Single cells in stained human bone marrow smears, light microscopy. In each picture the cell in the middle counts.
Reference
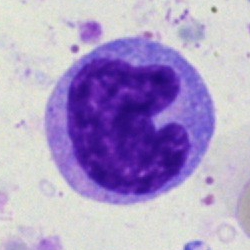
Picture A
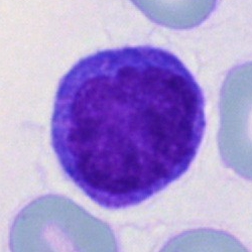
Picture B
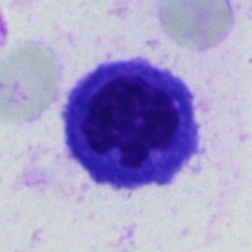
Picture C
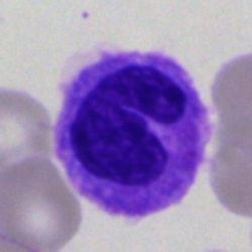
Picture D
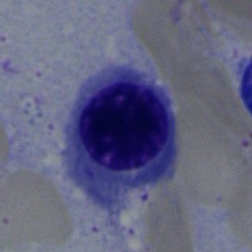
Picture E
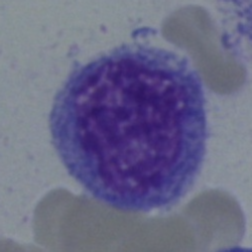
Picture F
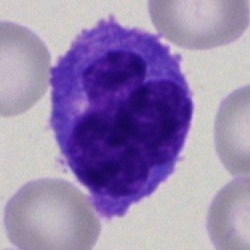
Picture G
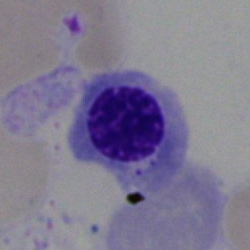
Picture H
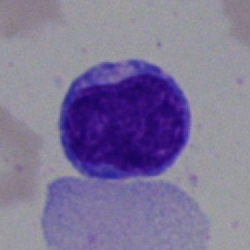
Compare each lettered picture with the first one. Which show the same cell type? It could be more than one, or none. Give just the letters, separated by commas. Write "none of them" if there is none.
C, F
